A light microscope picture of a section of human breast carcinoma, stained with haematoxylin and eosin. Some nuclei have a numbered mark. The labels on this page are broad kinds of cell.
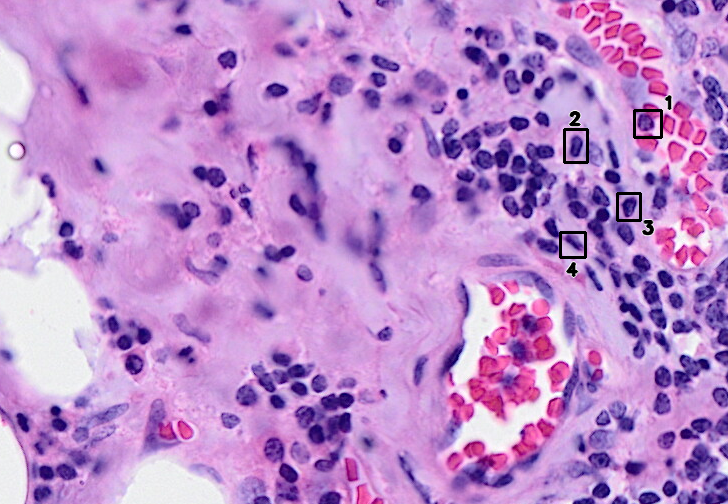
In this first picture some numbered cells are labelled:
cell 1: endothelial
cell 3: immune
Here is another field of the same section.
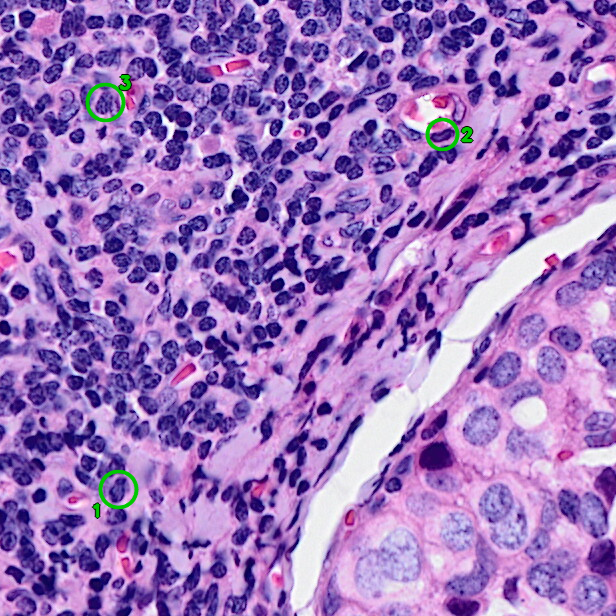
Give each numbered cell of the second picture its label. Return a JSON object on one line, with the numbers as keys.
{"1": "immune", "2": "endothelial", "3": "immune"}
